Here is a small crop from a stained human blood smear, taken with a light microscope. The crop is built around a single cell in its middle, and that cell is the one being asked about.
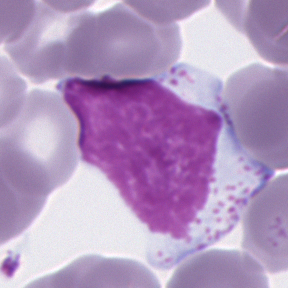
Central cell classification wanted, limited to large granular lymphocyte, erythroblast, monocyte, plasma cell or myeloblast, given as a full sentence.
The middle position in this crop is taken by a large granular lymphocyte.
